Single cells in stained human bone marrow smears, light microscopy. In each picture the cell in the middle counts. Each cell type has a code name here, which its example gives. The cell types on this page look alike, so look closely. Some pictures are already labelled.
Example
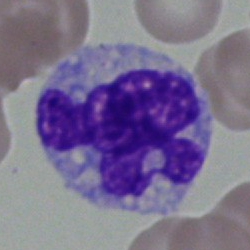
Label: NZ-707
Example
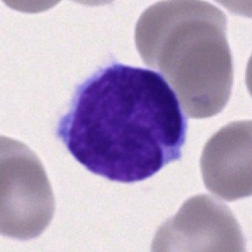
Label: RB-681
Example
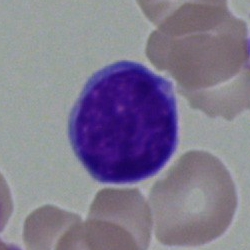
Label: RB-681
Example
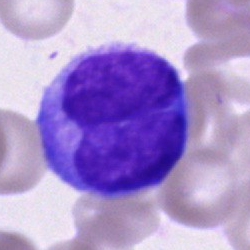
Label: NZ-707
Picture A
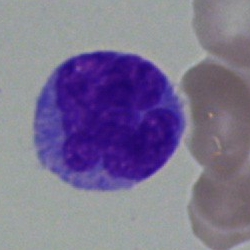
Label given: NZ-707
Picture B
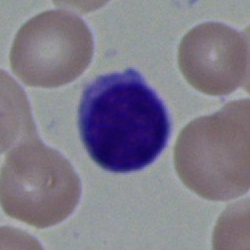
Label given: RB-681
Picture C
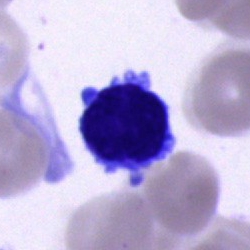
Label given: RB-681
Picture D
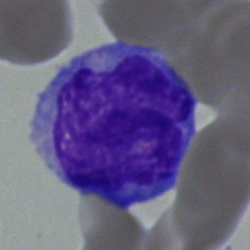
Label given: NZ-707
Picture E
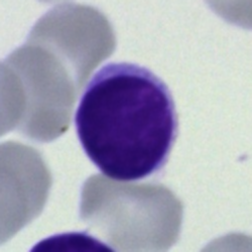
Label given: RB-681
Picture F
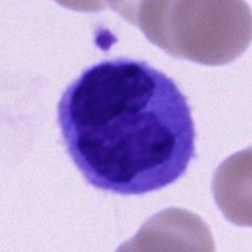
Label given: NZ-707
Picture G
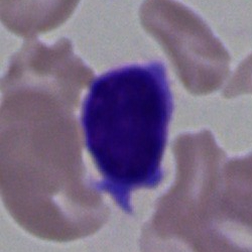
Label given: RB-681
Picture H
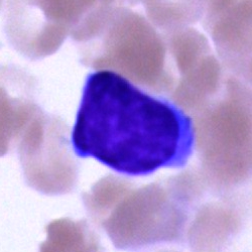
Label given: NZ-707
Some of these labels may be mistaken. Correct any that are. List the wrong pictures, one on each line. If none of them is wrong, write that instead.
H: RB-681, not NZ-707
